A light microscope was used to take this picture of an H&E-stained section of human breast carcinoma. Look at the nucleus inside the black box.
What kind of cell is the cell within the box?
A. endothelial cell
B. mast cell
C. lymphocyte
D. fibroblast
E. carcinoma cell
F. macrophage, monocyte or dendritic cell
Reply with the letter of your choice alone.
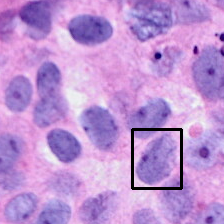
E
